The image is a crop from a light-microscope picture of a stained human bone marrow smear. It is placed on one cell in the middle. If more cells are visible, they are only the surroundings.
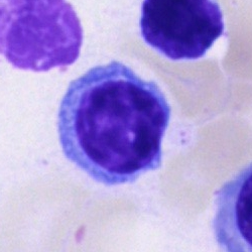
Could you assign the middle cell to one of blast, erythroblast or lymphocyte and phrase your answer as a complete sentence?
The cell in the middle of this crop is a lymphocyte.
